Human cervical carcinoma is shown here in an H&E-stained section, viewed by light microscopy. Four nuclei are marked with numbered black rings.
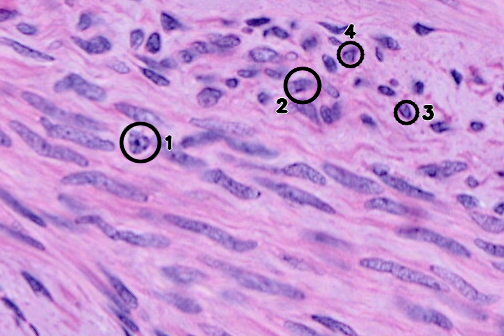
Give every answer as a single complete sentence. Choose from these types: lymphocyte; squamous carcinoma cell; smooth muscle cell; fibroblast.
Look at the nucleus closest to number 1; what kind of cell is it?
The cell nearest to number 1 is a smooth muscle cell.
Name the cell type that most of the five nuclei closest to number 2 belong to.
Most of the five nuclei nearest to number 2 are those of smooth muscle cells.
